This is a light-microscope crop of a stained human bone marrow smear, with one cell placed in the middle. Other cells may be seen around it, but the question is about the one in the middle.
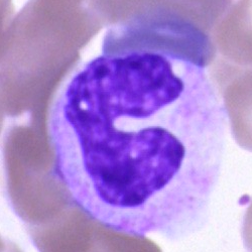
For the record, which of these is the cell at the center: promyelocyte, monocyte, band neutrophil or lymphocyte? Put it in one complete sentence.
The identification for the central cell is a band neutrophil.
